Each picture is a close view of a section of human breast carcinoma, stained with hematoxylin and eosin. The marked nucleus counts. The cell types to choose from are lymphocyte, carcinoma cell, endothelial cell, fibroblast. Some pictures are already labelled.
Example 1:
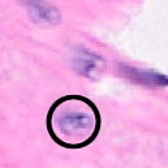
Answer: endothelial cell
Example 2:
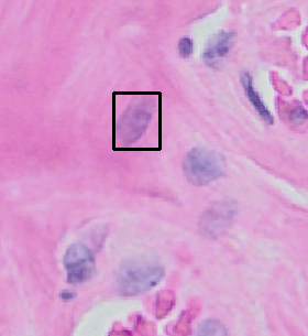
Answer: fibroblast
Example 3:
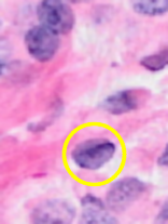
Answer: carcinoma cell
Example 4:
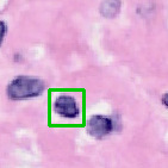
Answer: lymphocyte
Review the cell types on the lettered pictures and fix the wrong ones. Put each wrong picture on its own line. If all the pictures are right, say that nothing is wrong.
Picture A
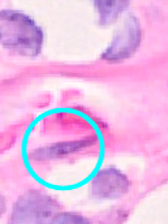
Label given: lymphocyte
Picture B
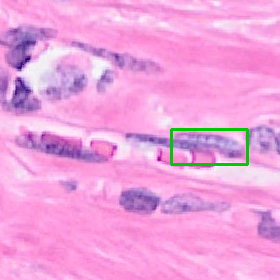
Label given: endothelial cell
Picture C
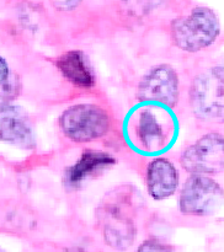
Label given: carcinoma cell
A: change lymphocyte to endothelial cell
